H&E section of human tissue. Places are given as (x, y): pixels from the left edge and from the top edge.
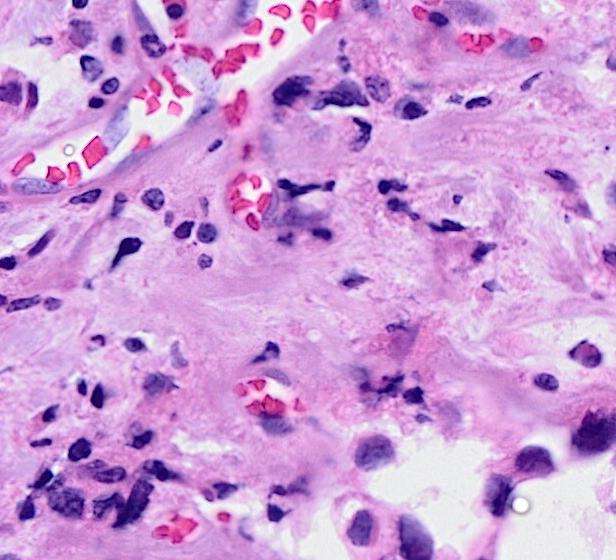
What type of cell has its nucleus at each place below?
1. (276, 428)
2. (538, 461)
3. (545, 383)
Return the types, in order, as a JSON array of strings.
["endothelial cell", "carcinoma cell", "lymphocyte"]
